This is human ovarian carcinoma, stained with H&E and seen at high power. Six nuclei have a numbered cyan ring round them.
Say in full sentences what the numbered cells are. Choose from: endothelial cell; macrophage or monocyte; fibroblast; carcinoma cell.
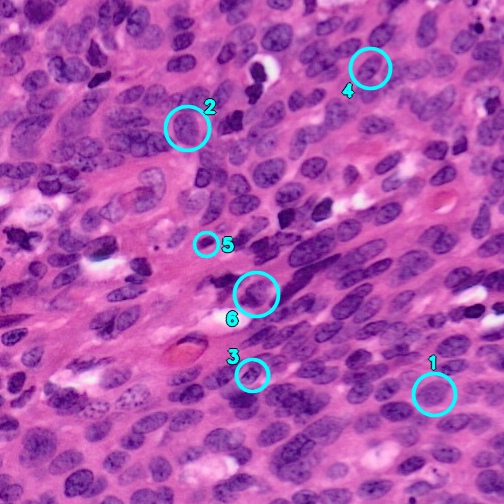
Cell 1 is a carcinoma cell, cell 2 is a carcinoma cell, cell 3 is a macrophage or monocyte, cell 4 is a carcinoma cell, cell 5 is an endothelial cell and cell 6 is a carcinoma cell.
